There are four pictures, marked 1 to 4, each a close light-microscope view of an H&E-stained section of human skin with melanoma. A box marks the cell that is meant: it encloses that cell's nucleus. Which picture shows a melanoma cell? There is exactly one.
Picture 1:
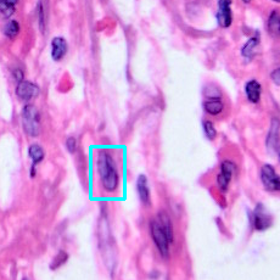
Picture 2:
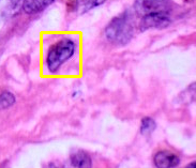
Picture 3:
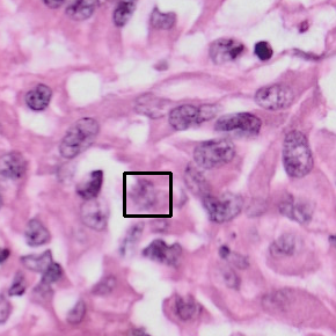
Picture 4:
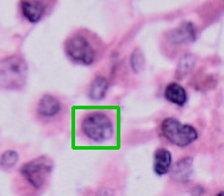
3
